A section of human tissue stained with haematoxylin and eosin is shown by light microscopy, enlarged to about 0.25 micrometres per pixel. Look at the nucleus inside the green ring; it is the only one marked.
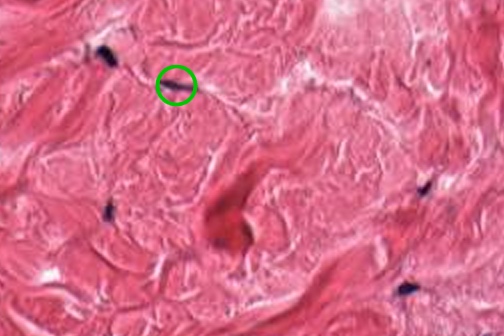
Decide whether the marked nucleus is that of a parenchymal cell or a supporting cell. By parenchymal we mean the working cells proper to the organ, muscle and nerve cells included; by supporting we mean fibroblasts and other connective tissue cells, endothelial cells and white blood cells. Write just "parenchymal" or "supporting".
supporting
